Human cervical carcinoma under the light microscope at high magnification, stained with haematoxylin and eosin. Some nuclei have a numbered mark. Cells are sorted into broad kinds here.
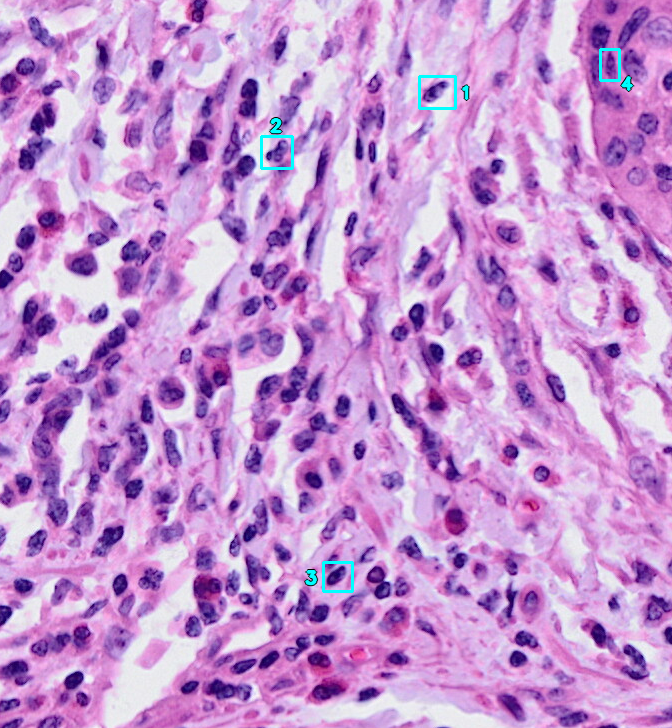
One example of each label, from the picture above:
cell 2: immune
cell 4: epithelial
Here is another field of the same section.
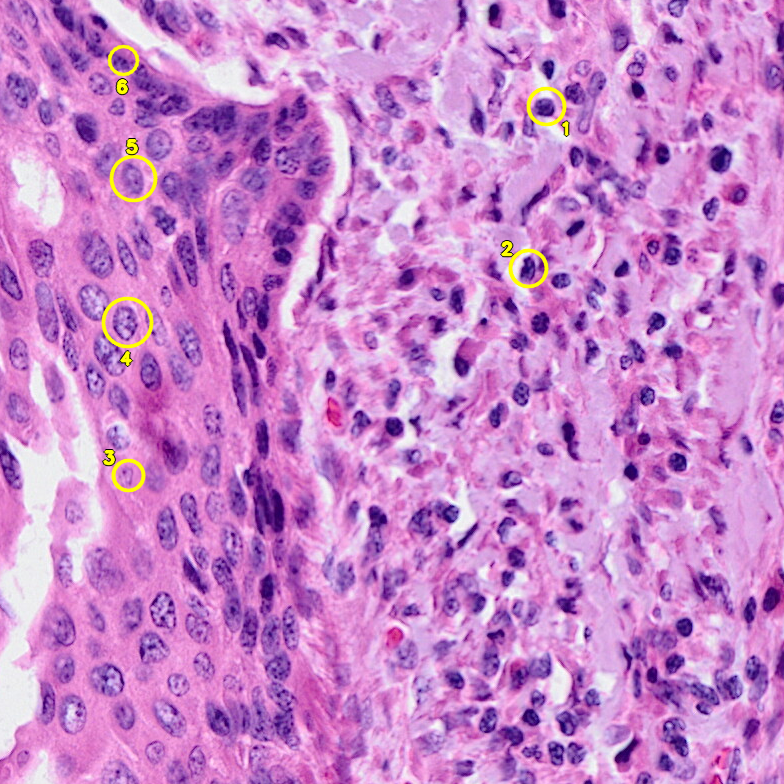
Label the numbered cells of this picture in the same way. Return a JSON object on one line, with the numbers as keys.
{"1": "immune", "2": "immune", "3": "epithelial", "4": "epithelial", "5": "epithelial", "6": "epithelial"}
